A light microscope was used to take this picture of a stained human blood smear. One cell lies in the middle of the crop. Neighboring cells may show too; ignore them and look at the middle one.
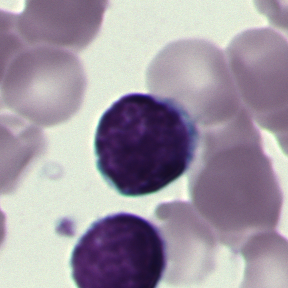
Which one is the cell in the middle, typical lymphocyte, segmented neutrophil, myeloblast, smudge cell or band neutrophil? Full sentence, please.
Of the cells in this crop, the central one is a typical lymphocyte.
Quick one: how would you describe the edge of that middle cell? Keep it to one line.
Nothing juts out from the margin, which is smooth throughout.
